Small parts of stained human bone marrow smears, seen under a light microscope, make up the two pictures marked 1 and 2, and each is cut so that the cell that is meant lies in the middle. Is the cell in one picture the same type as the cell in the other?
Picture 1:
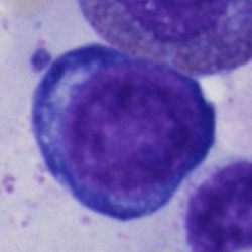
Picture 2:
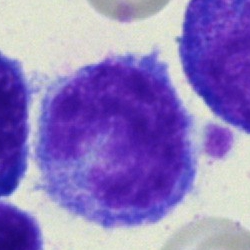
no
